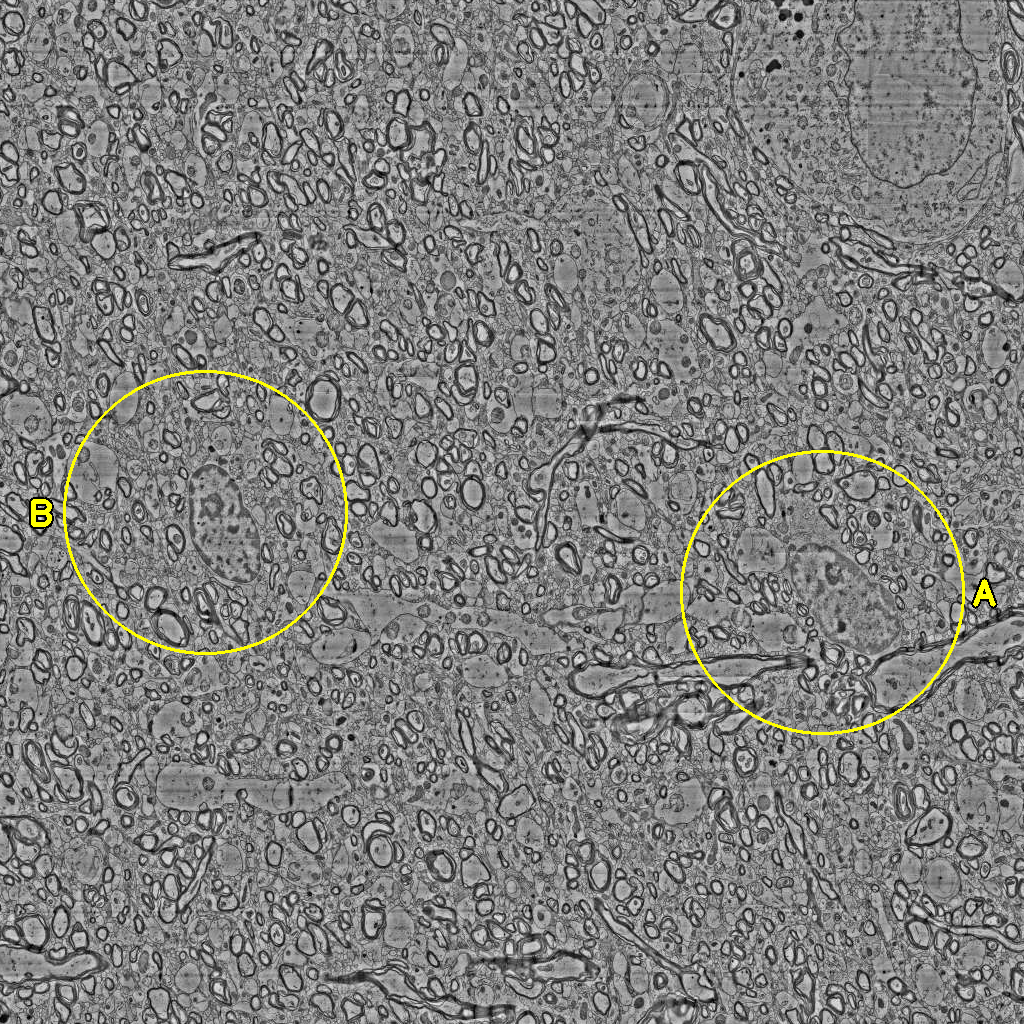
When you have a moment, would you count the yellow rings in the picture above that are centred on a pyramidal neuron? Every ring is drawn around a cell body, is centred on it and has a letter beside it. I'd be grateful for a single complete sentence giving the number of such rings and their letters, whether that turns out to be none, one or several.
No letter in the micrograph marks a ring centred on a pyramidal neuron, so the count is zero.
